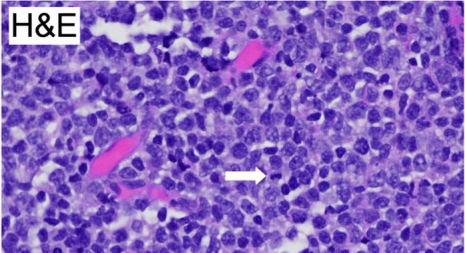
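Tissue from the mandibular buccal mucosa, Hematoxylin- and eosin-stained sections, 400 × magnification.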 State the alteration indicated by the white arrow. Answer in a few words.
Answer: Large cells with frequent mitoses.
